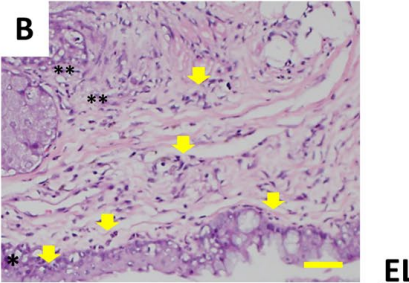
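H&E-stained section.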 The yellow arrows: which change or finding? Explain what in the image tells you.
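Inflammatory cell infiltration. Many scattered small dark nuclei lie in the loose connective tissue beneath the epithelium. The arrows point to these cells in the subepithelial tissue.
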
